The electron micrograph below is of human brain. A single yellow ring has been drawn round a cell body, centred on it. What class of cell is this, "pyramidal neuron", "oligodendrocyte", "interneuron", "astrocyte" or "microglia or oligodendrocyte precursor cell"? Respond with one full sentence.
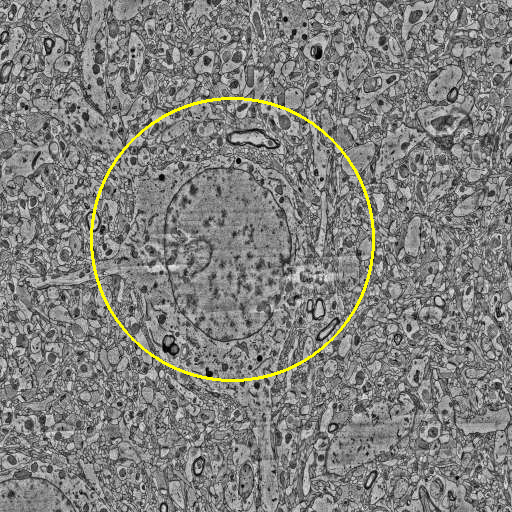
In the micrograph, the cell centred inside the yellow ring is a pyramidal neuron.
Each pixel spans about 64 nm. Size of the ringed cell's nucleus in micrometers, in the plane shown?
About 11 by 8 micrometers for the nucleus, in this plane.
